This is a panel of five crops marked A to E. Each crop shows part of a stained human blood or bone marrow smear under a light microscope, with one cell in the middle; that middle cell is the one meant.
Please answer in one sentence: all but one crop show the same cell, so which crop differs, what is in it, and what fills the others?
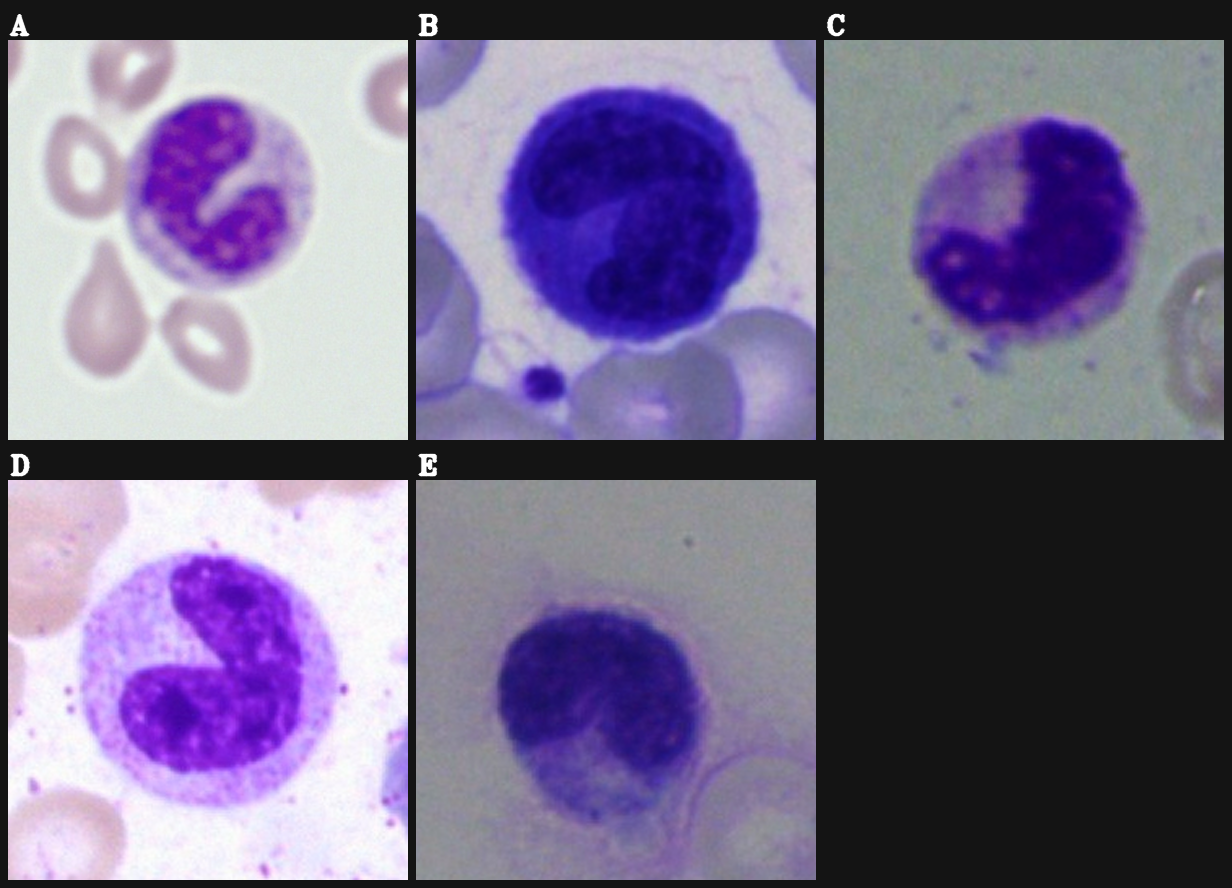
Among the crops, crop B is unique in showing a monocyte; the others show band neutrophils.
